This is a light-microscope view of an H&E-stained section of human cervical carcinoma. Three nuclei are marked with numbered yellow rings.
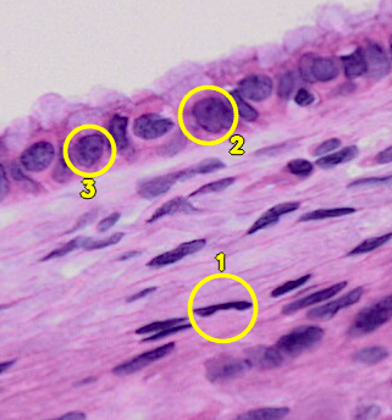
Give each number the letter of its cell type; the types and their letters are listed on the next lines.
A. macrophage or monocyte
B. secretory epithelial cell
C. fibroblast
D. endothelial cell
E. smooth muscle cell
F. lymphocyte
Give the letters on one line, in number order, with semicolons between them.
C; B; B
